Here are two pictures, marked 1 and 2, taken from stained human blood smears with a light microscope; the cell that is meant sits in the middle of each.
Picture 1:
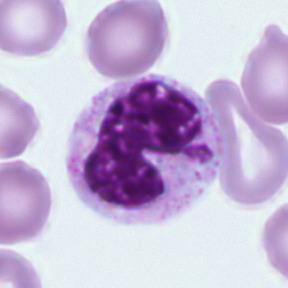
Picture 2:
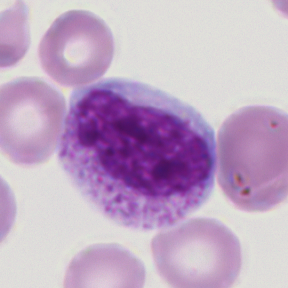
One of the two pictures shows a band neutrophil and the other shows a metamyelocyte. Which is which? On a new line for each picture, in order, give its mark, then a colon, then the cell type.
1: band neutrophil
2: metamyelocyte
